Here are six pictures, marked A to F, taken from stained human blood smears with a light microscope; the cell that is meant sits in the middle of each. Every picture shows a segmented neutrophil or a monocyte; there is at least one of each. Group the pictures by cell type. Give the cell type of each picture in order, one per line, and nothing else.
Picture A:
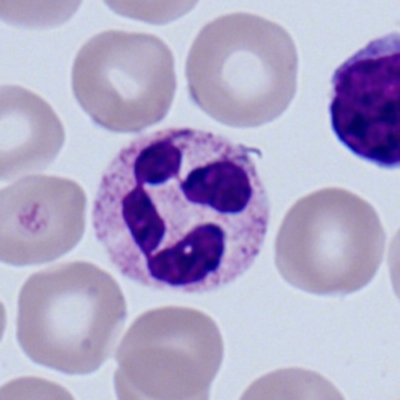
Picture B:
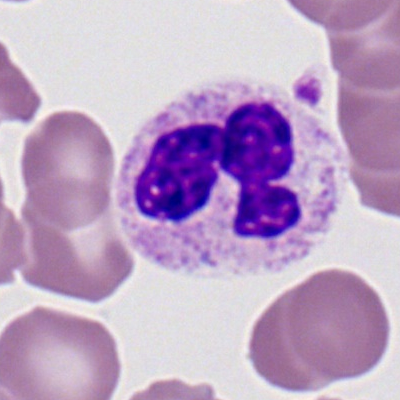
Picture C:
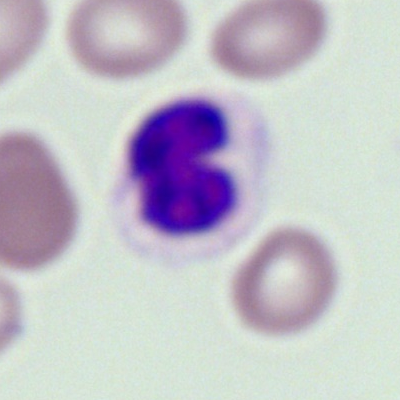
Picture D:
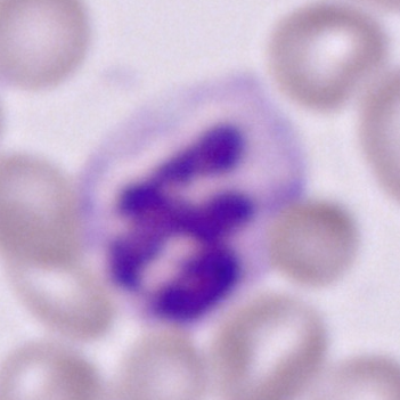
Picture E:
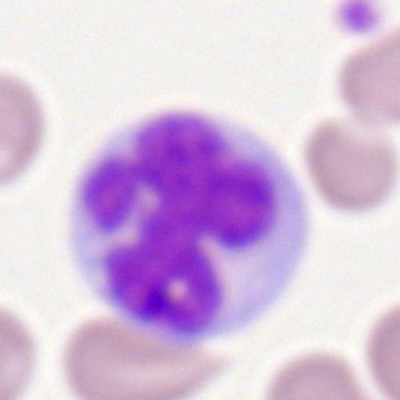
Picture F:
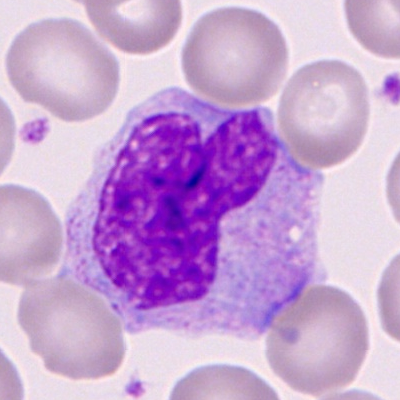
segmented neutrophil
segmented neutrophil
segmented neutrophil
segmented neutrophil
monocyte
monocyte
